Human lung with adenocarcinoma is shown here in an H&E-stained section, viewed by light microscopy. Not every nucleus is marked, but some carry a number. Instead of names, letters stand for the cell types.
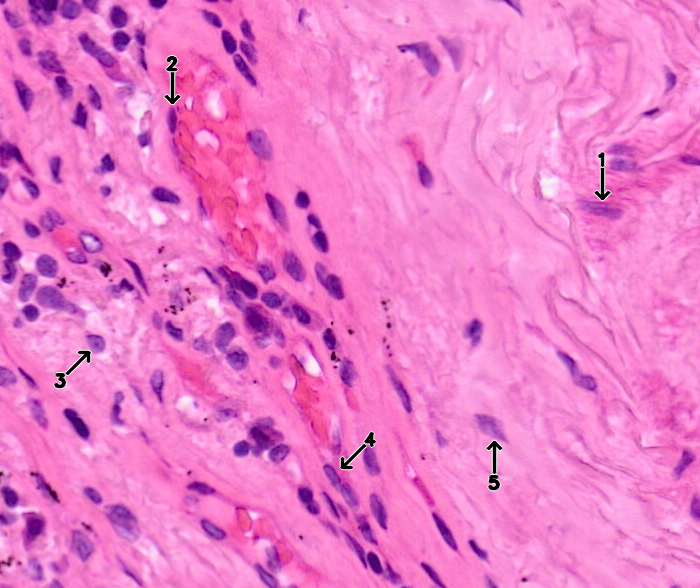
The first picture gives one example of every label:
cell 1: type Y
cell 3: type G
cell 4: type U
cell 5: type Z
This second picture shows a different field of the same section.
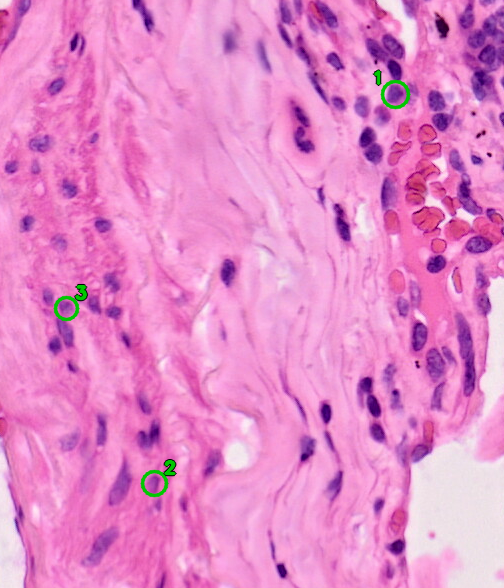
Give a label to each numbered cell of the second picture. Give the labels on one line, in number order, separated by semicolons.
type G; type Y; type Y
